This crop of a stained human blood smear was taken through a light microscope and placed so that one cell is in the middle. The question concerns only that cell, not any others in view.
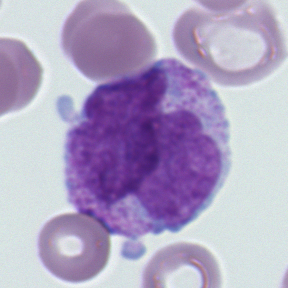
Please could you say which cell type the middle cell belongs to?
atypical promyelocyte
